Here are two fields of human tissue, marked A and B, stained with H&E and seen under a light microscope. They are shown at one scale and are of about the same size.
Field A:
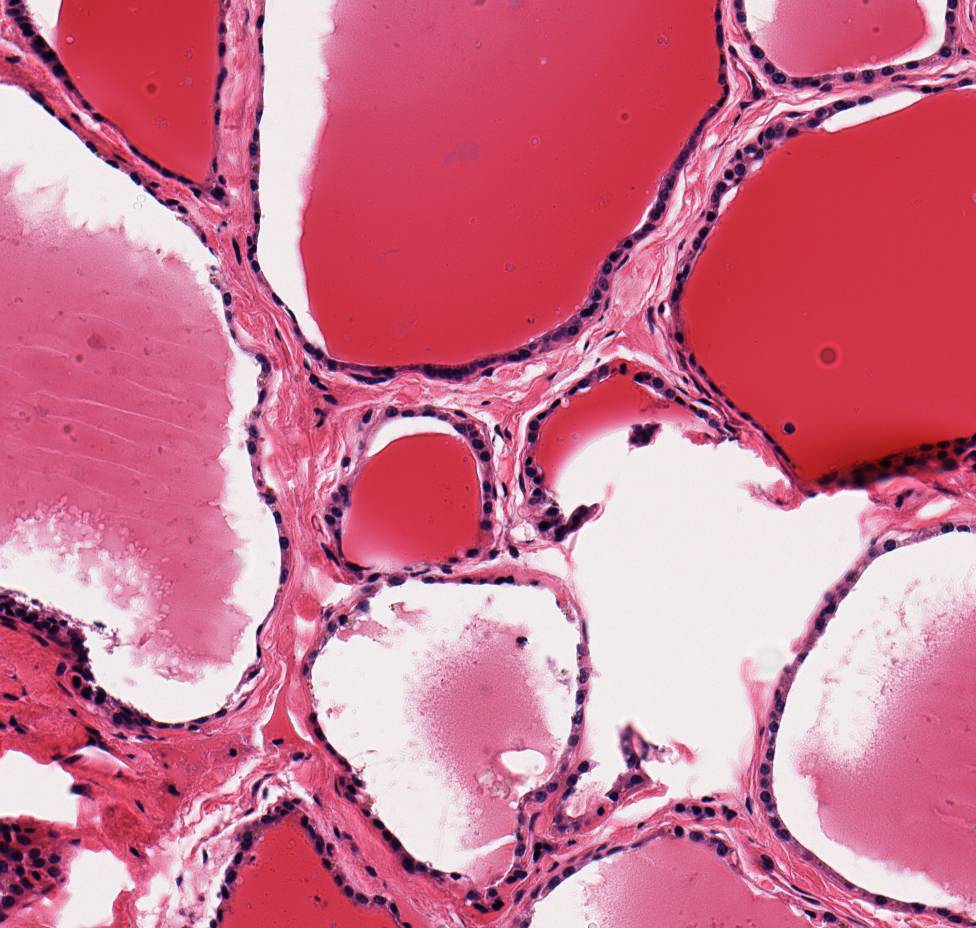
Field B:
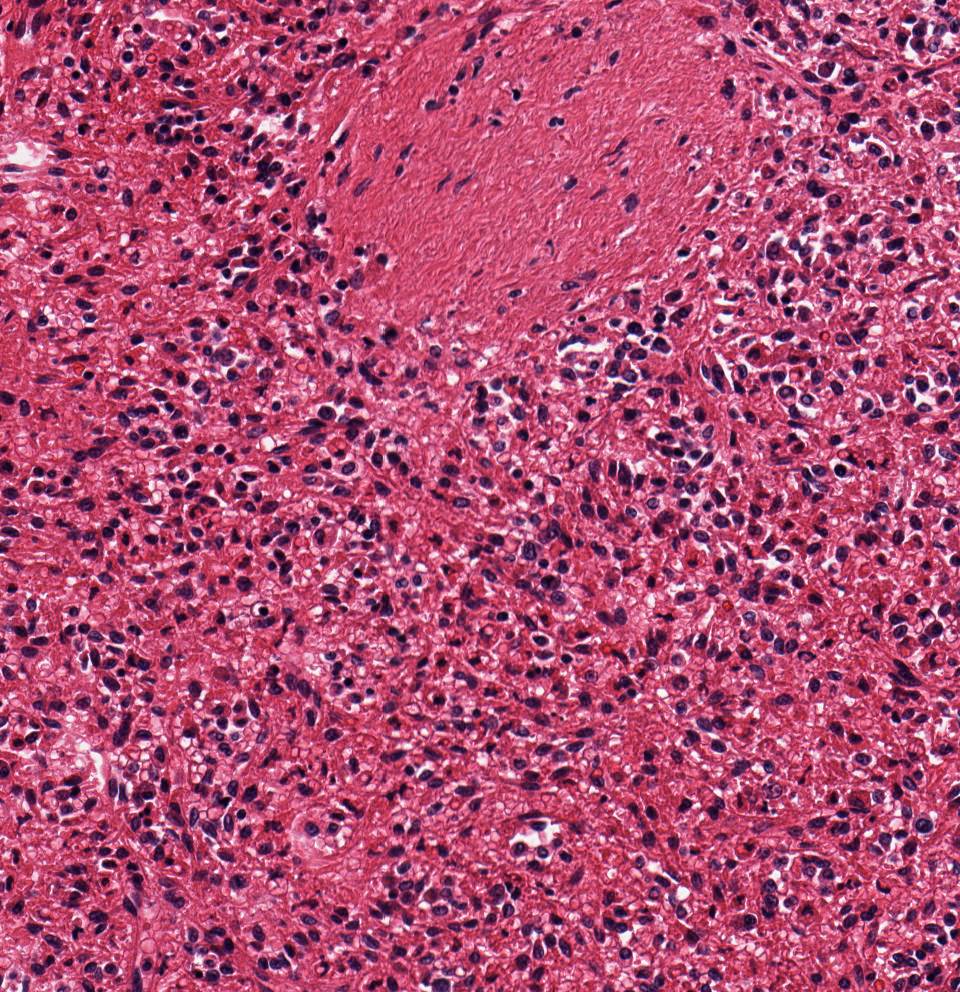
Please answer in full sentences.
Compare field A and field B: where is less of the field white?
It is field B that stained tissue fills more completely.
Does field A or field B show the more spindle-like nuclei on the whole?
It is field A whose nuclei are the more elongated.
